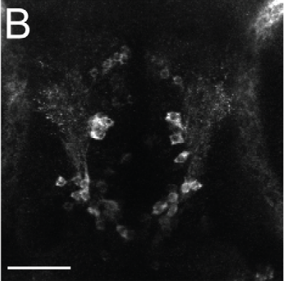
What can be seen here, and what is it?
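Against a dark, faintly granular background, bright cell bodies form two loose clusters arranged roughly symmetrically on either side of the midline. The bodies are rounded to oval, with the brightest label at their rims, giving a ring-like look, and some sit close together in small groups while others are spaced out along a curved arc. Faint fibrous label extends around the clusters. The midline between the two arcs is largely unlabeled.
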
